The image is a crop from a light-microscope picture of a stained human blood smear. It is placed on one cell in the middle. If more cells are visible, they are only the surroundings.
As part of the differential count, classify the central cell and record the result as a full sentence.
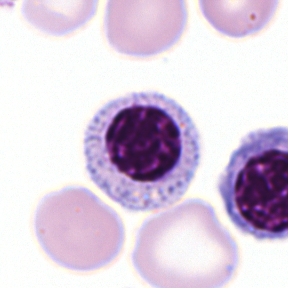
The crop centres on a single cell, and that cell is an erythroblast.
